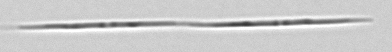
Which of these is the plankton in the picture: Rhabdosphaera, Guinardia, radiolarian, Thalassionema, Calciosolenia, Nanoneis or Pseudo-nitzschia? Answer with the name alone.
Pseudo-nitzschia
